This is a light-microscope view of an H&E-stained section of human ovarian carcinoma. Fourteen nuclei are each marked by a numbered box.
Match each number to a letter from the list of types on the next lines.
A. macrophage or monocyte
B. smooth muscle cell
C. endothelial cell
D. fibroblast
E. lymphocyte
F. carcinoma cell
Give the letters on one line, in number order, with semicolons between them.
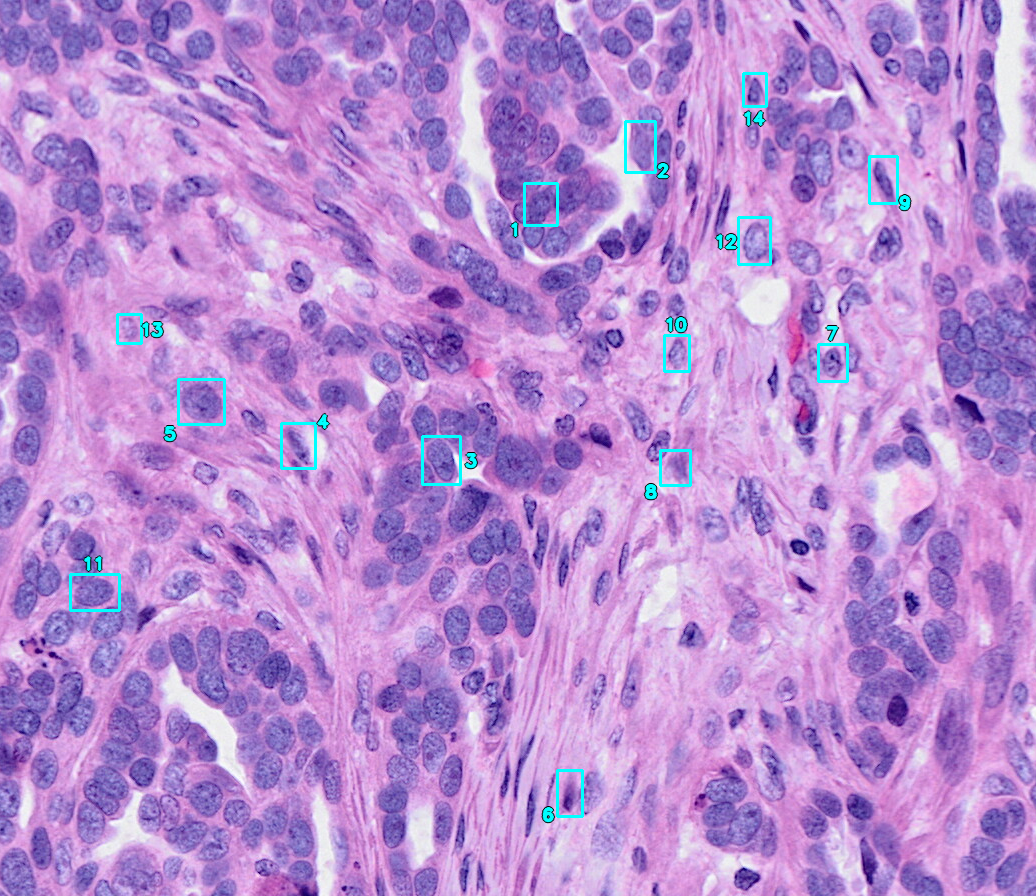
F; F; F; D; F; D; A; D; D; D; F; D; D; D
